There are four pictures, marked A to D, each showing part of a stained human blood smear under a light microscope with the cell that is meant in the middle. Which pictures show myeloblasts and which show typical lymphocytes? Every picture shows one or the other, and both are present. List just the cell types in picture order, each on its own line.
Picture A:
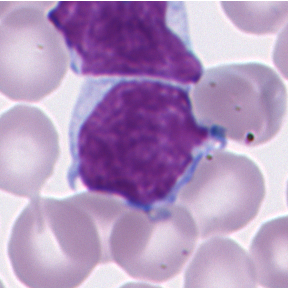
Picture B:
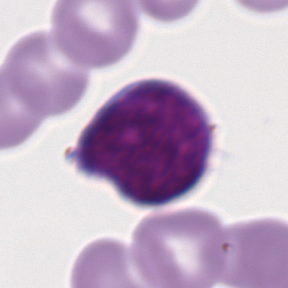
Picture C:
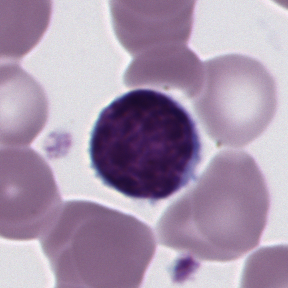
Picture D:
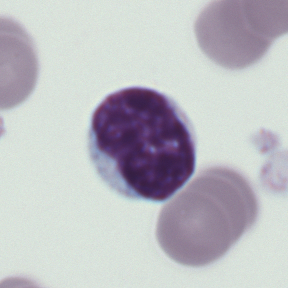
typical lymphocyte
myeloblast
typical lymphocyte
typical lymphocyte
